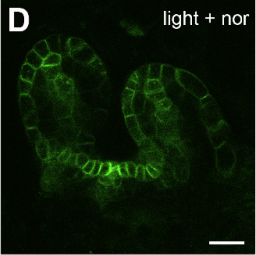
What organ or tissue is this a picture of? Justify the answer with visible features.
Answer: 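The small central cells form a curved layer at the base of the notch. On this evidence: meristem.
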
